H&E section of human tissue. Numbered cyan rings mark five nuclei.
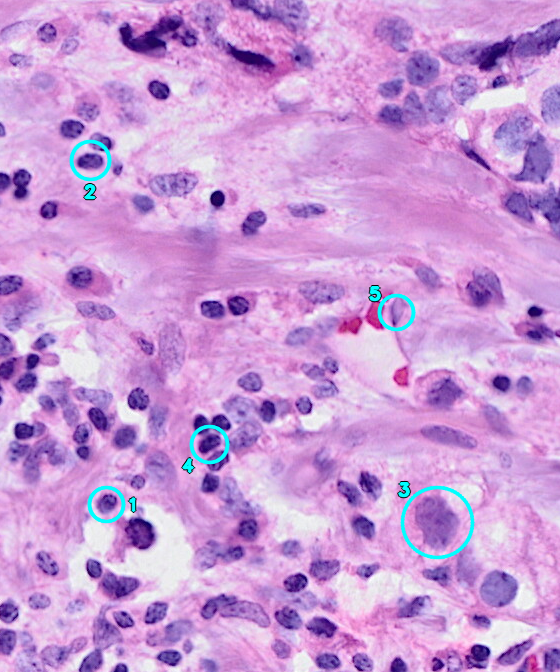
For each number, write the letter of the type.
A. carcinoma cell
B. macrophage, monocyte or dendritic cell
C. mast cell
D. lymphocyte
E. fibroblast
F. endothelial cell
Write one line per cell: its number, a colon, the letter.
1: C
2: D
3: A
4: D
5: F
